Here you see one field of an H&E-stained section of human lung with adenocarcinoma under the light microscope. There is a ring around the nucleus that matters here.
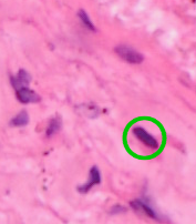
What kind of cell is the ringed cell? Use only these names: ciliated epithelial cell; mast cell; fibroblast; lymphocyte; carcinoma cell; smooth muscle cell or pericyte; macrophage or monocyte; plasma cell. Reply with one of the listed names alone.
mast cell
